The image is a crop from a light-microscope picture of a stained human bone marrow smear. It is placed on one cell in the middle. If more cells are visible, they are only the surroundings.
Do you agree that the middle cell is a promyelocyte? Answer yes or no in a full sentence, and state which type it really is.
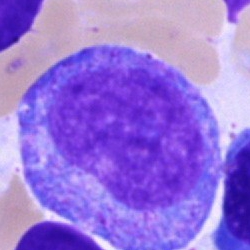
Yes, the cell at the middle is a promyelocyte.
